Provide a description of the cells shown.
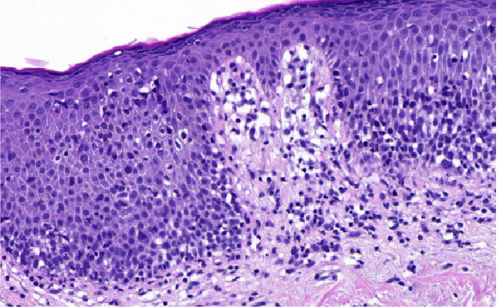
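This is skin with an irregularly thickened epidermis under a thin pink surface crust, its keratinocytes stained purple with a darker basal region. Slender dermal papillae reaching up into the epidermis and the superficial dermis are filled with small cells with dark round nuclei, and such cells also lie among the keratinocytes.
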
